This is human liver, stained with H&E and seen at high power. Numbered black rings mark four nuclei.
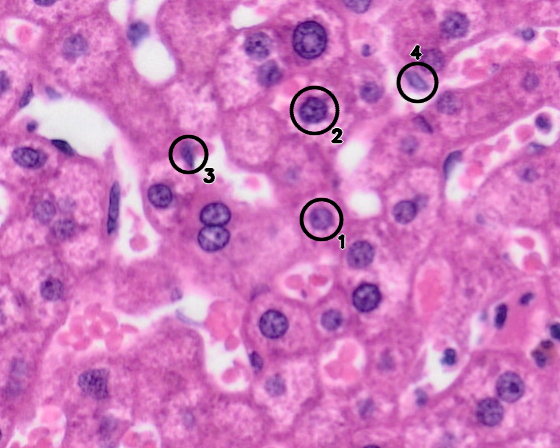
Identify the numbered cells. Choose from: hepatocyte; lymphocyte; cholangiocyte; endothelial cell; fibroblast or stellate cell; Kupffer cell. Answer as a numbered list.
1. hepatocyte
2. hepatocyte
3. endothelial cell
4. Kupffer cell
